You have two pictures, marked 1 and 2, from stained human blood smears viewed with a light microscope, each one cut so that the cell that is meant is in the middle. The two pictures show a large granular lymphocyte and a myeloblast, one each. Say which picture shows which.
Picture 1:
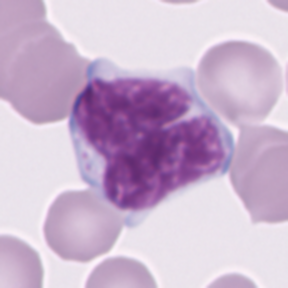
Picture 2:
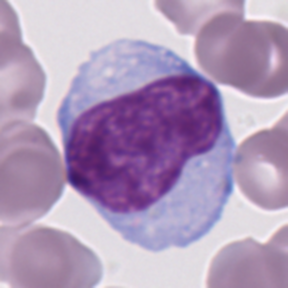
1: large granular lymphocyte
2: myeloblast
